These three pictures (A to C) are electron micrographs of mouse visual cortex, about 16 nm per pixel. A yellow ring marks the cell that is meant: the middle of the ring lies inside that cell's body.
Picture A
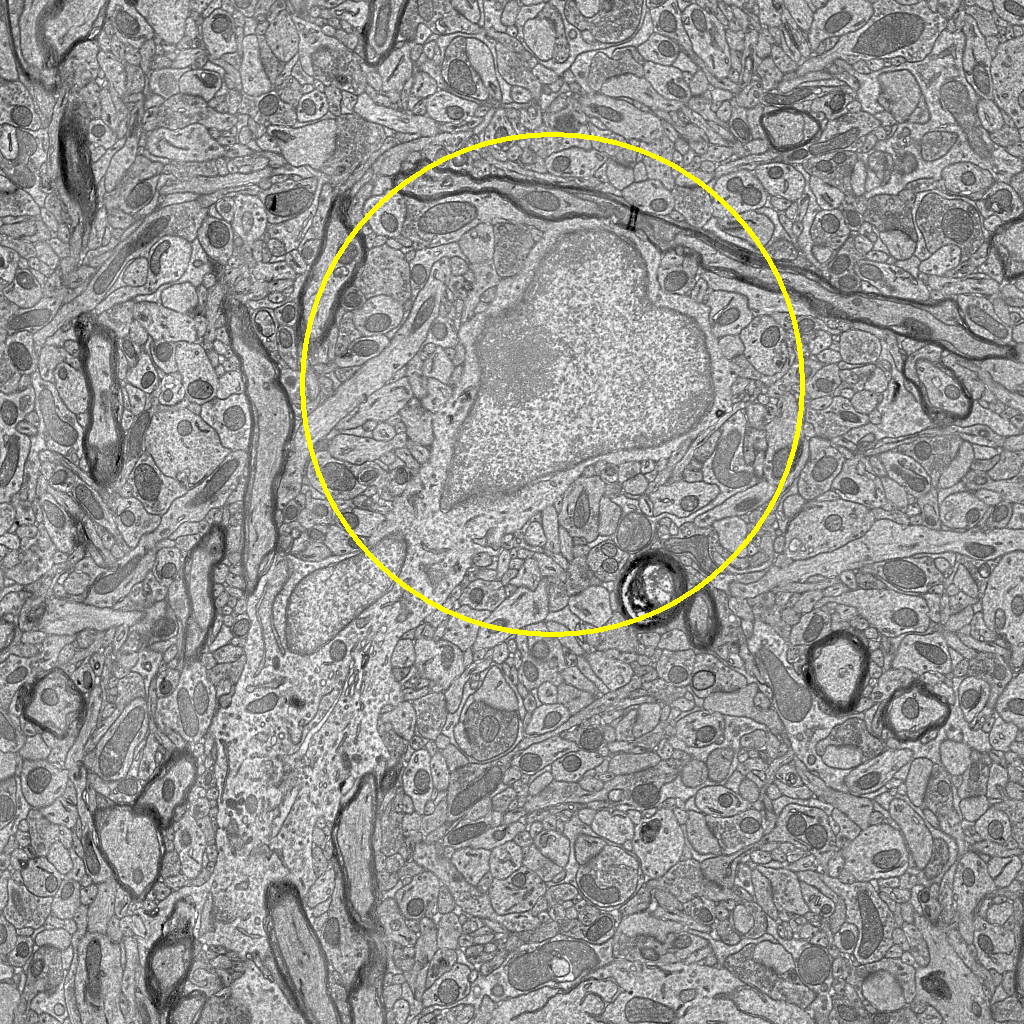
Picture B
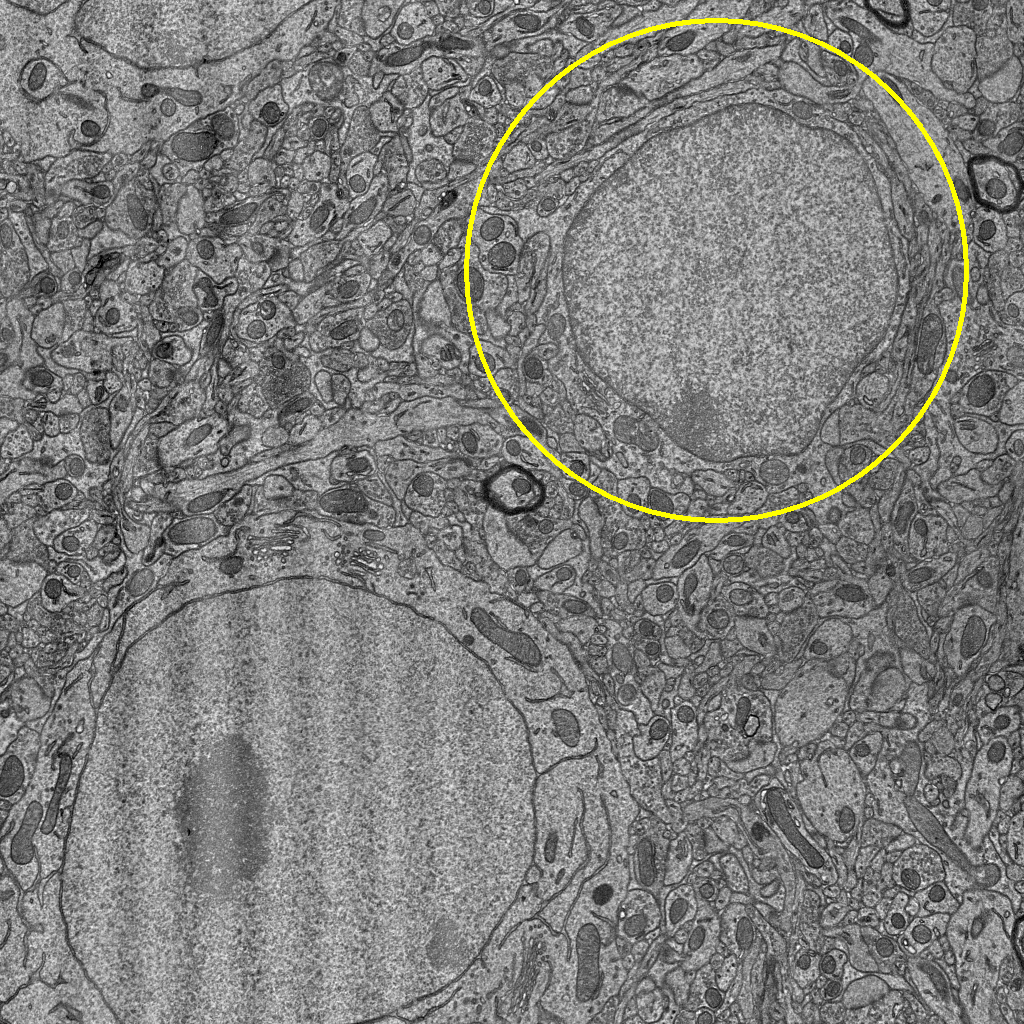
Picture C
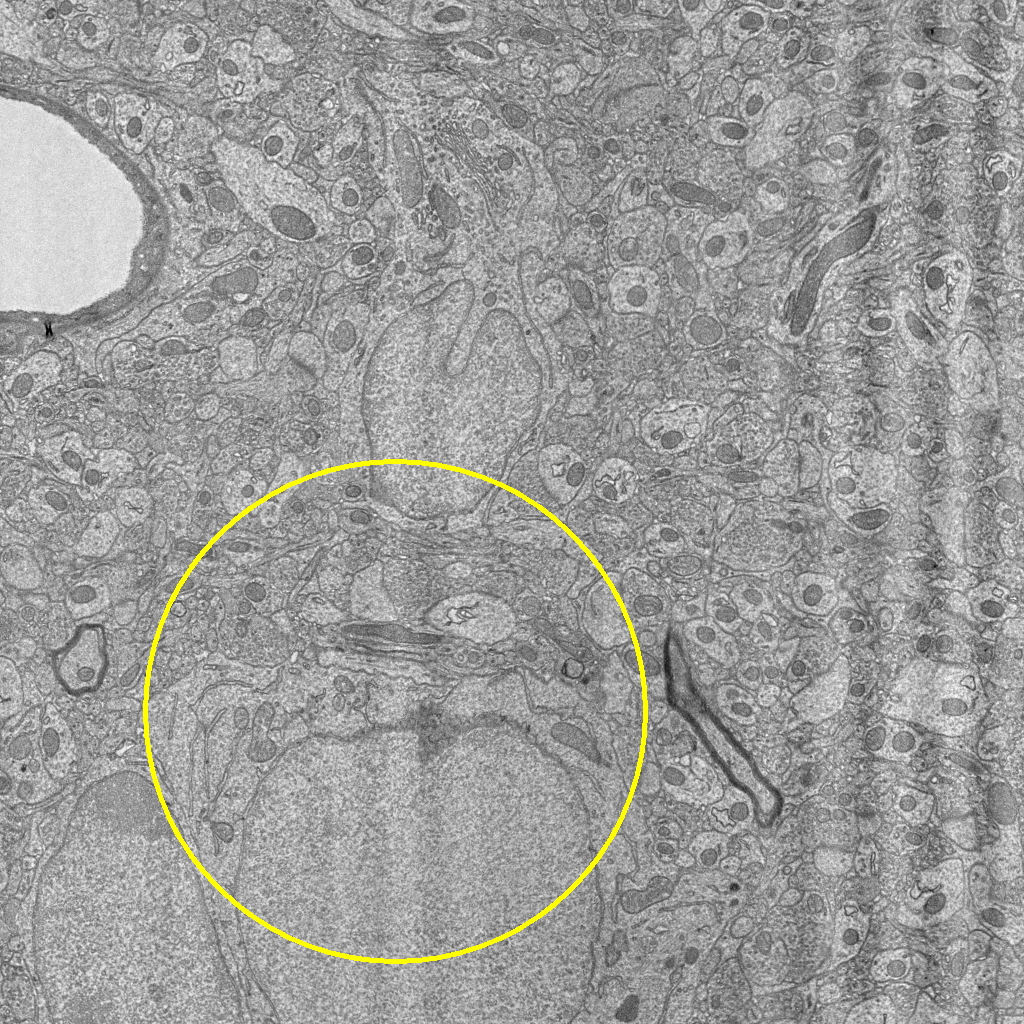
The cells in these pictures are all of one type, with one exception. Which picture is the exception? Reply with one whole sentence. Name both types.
The others show oligodendrocyte precursor cells, but picture B shows an astrocyte.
